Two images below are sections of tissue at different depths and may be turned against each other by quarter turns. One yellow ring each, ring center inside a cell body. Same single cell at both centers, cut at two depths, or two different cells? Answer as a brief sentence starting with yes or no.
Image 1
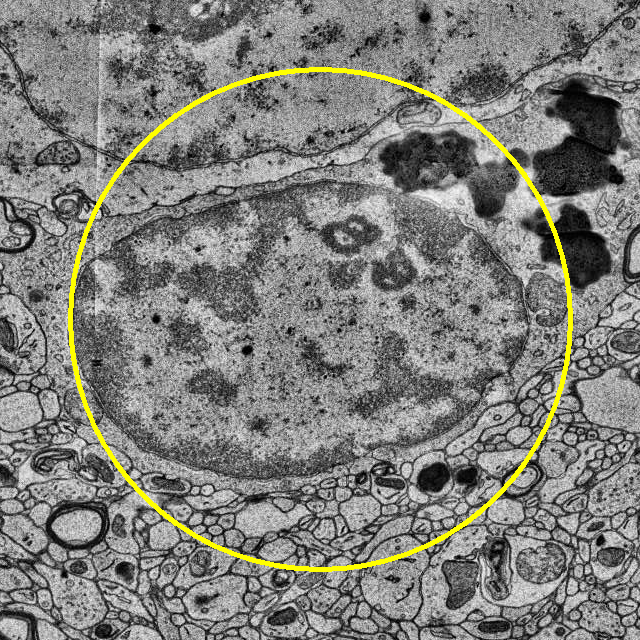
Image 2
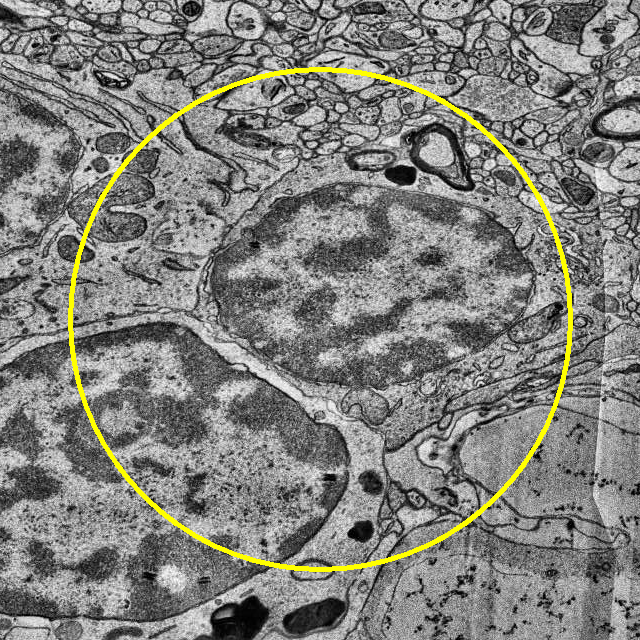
No, the first ring and the second ring mark different cells.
